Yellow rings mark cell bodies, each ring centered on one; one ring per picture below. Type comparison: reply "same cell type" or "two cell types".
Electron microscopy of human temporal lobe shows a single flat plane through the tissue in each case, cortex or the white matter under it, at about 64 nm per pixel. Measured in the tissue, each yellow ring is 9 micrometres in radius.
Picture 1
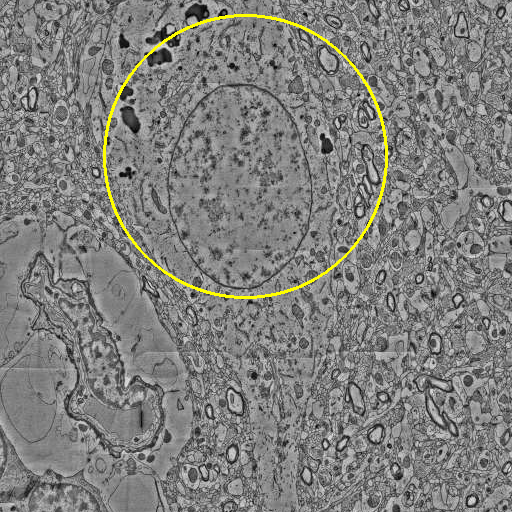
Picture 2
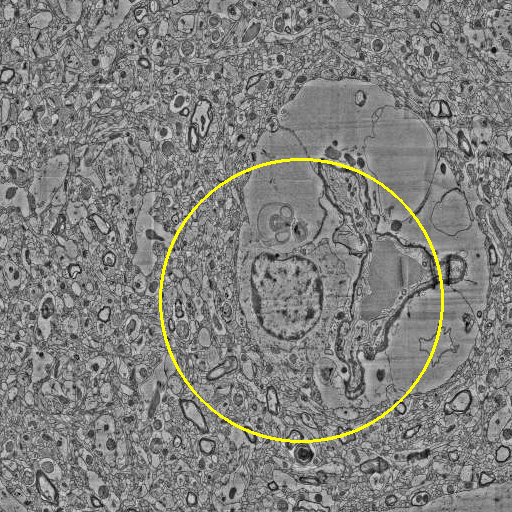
two cell types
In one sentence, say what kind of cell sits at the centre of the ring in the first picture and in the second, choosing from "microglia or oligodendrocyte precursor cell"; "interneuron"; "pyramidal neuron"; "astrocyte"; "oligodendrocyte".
The first picture's ringed cell is a pyramidal neuron, while the second picture's is a microglial cell or oligodendrocyte precursor cell.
